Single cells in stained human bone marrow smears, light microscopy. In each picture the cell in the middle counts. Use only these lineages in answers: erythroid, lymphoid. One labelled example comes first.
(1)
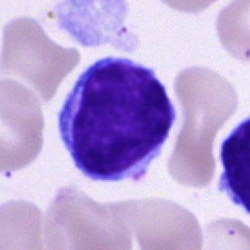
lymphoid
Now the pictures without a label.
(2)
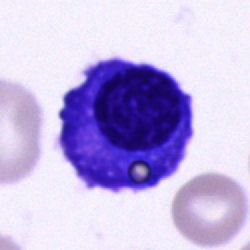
lymphoid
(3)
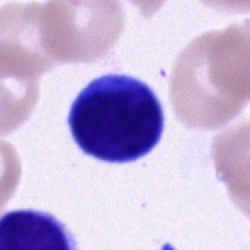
lymphoid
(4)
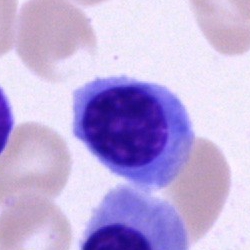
erythroid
